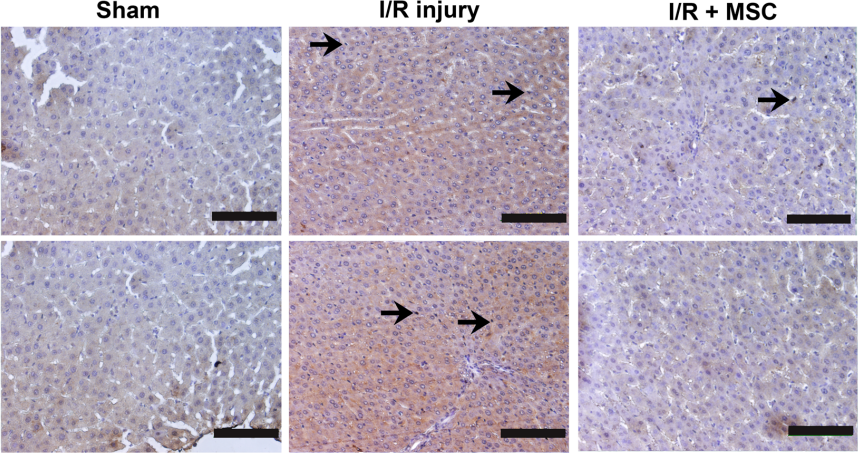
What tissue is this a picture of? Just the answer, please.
Liver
